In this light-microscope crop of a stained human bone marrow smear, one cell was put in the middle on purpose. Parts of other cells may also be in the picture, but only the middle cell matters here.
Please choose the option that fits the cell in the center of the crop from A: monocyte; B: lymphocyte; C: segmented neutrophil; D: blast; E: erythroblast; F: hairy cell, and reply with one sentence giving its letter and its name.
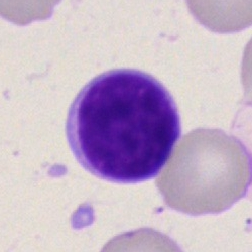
Option B is the right one, for the cell in the middle is a lymphocyte.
